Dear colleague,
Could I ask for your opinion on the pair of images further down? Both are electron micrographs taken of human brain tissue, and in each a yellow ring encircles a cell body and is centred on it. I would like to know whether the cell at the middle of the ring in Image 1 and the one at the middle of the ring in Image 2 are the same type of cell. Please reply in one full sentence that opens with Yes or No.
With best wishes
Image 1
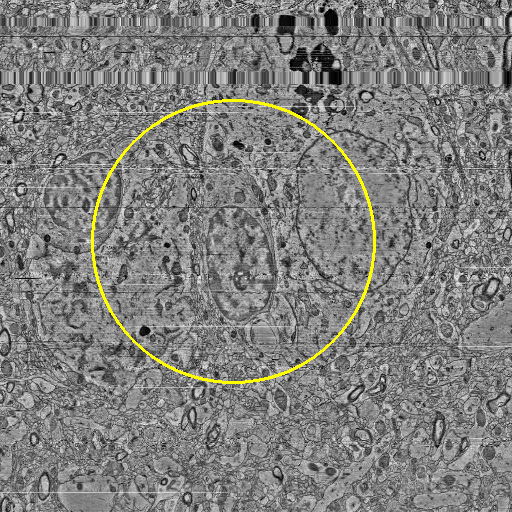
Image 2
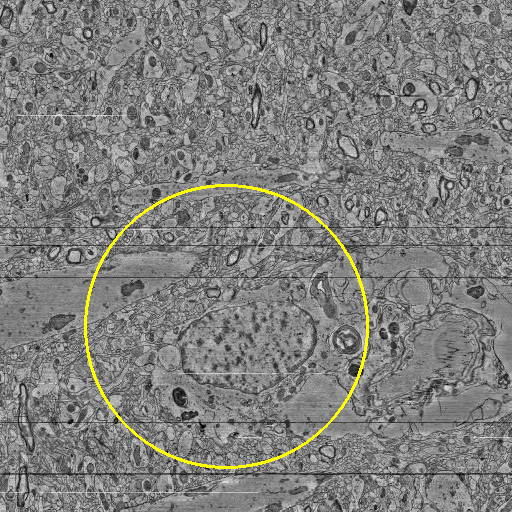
No, the cells at the ring centres in Image 1 and Image 2 are of two types.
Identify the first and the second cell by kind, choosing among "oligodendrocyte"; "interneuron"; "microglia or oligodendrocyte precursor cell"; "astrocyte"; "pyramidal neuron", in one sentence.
The one in the first picture is an oligodendrocyte, while the one in the second is a microglial cell or oligodendrocyte precursor cell.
